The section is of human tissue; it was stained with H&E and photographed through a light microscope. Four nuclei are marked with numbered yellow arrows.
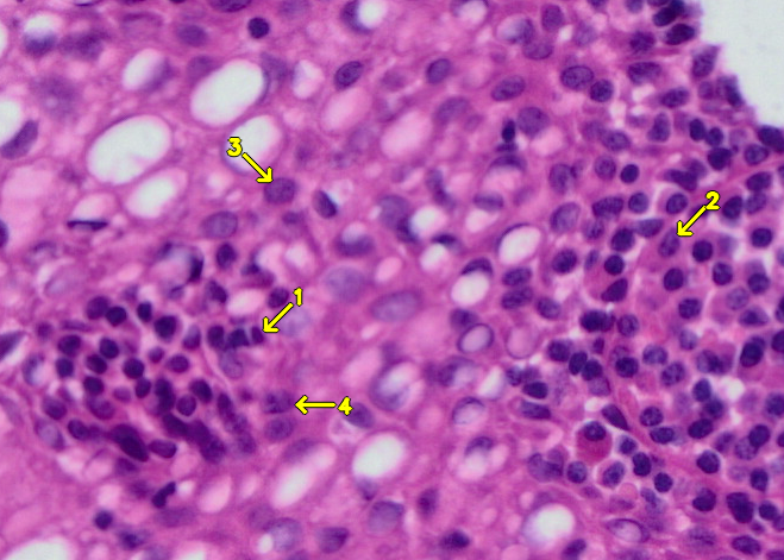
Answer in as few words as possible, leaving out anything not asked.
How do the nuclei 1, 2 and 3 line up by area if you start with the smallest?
1, 2, 3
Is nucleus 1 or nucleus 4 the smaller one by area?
1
